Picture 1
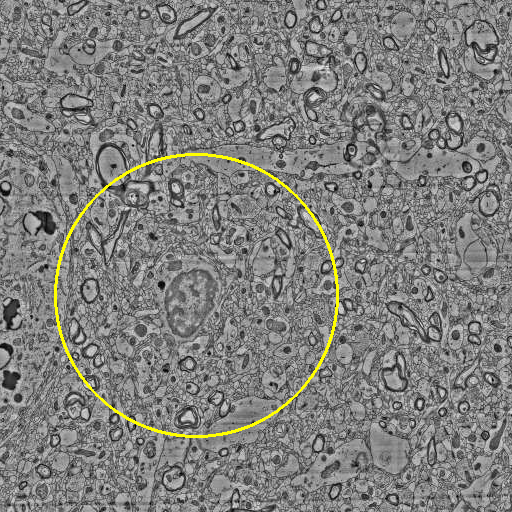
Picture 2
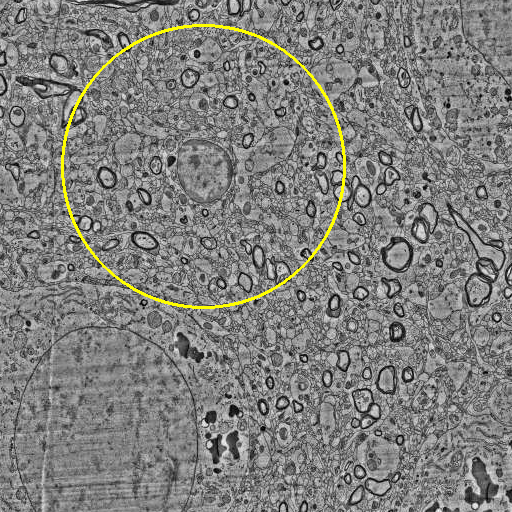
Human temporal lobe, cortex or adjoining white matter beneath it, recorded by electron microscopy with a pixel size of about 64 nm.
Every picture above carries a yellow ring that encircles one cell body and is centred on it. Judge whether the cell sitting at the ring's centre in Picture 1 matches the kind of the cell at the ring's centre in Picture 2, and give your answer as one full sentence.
No, the cells centred in the rings of Pictures 1 and 2 belong to two kinds.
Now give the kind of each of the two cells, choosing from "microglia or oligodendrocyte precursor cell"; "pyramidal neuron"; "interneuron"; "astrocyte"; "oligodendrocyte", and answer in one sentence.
The cell in the first picture is an oligodendrocyte, and the cell in the second is a microglial cell or oligodendrocyte precursor cell.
